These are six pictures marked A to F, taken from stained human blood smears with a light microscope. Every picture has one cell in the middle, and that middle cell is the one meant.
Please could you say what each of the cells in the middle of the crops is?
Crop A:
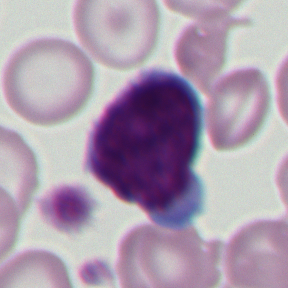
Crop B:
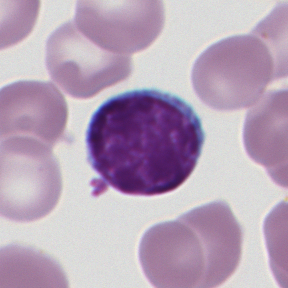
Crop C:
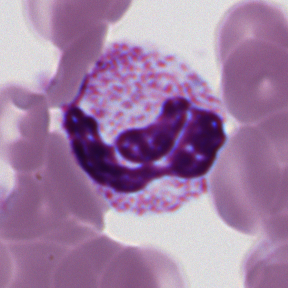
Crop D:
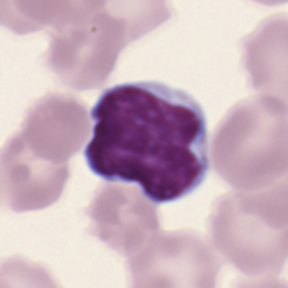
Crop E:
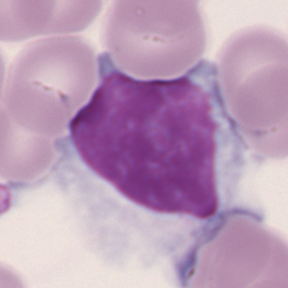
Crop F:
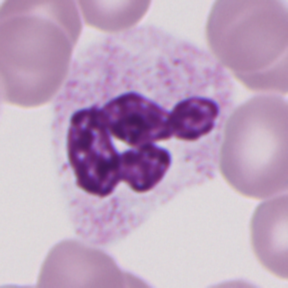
A: lymphocyte
B: lymphocyte
C: neutrophil
D: lymphocyte
E: lymphocyte
F: neutrophil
